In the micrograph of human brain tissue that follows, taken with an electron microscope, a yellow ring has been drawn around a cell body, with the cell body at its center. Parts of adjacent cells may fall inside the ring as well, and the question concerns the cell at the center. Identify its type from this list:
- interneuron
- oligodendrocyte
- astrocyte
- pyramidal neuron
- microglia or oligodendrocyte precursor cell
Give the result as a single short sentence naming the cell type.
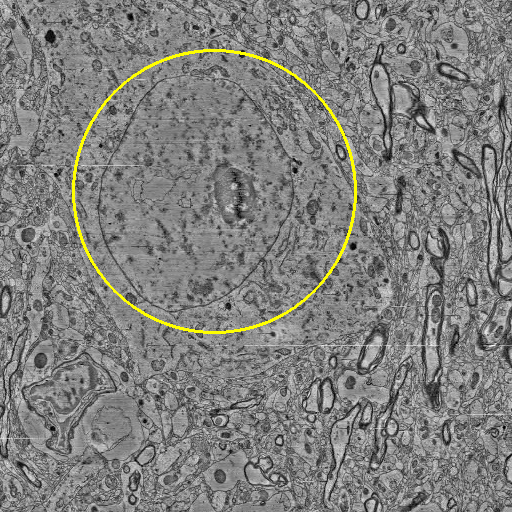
The ring is centered on a pyramidal neuron.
